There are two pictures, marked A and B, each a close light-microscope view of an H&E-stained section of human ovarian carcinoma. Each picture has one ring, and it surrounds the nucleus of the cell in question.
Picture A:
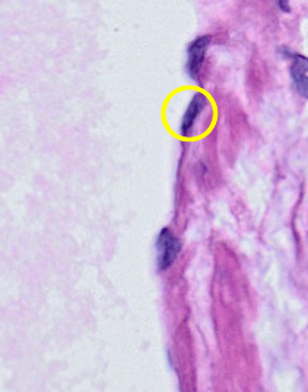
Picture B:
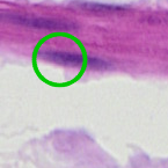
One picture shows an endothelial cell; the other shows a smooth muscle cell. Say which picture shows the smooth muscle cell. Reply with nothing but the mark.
B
